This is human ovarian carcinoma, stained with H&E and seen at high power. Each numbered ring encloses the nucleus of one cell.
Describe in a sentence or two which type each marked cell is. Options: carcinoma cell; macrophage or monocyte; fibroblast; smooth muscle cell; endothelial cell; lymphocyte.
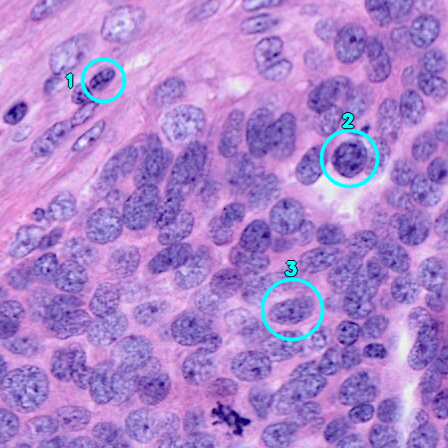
Cell 1 is a lymphocyte. Cells 2 and 3 are carcinoma cells.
